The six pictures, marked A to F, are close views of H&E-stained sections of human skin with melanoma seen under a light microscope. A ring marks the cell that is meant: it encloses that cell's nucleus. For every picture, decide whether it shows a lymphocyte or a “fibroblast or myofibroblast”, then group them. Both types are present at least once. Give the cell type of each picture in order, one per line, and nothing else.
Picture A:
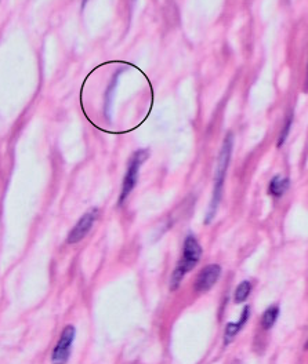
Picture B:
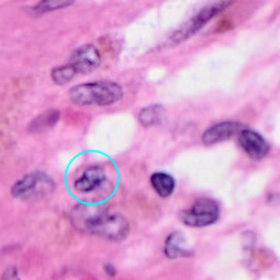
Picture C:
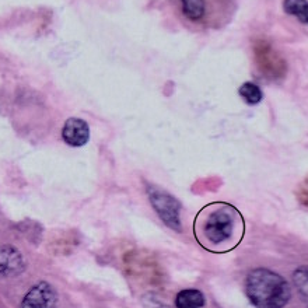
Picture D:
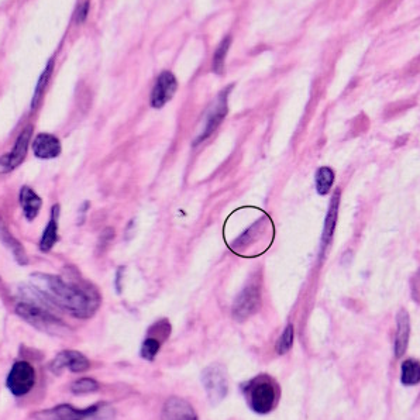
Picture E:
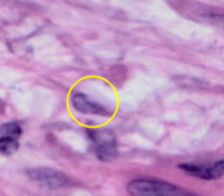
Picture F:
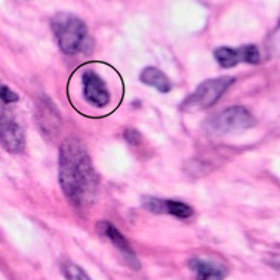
fibroblast or myofibroblast
lymphocyte
lymphocyte
fibroblast or myofibroblast
fibroblast or myofibroblast
lymphocyte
